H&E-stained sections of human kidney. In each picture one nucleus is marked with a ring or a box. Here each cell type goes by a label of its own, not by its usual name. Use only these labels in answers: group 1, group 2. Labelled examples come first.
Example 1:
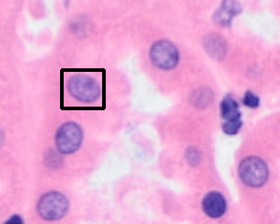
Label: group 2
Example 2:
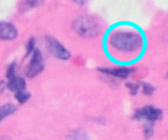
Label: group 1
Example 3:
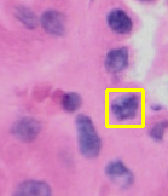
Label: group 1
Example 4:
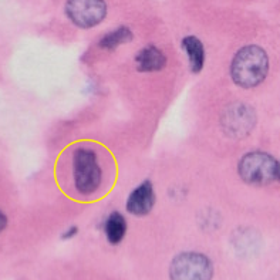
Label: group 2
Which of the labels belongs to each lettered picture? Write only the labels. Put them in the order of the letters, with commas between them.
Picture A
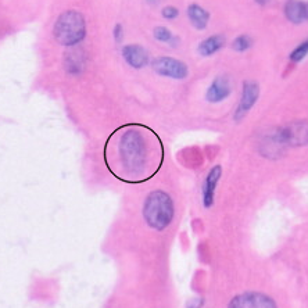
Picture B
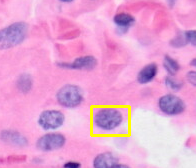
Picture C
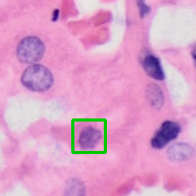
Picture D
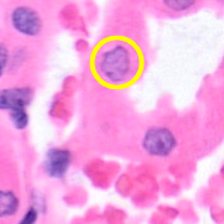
group 2, group 1, group 2, group 2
